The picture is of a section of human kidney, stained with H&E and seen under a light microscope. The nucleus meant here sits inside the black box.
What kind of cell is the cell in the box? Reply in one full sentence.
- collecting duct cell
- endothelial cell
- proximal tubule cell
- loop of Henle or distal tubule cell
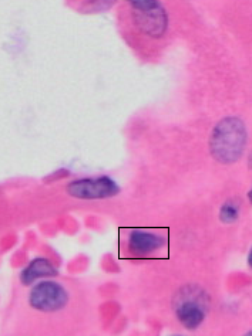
As to its cell type, the cell in the box is an endothelial cell.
